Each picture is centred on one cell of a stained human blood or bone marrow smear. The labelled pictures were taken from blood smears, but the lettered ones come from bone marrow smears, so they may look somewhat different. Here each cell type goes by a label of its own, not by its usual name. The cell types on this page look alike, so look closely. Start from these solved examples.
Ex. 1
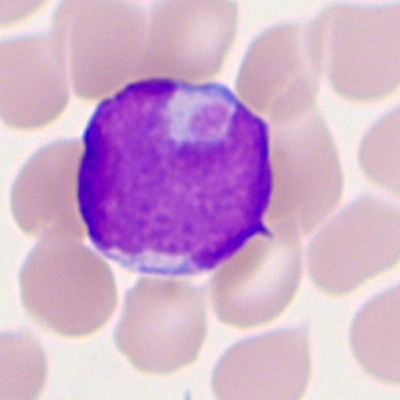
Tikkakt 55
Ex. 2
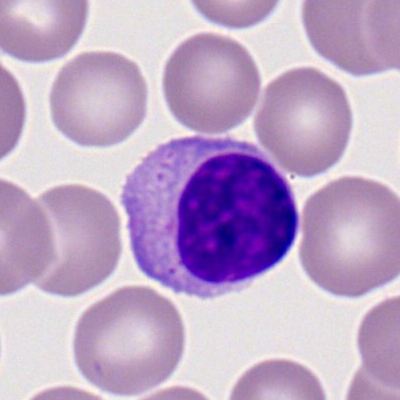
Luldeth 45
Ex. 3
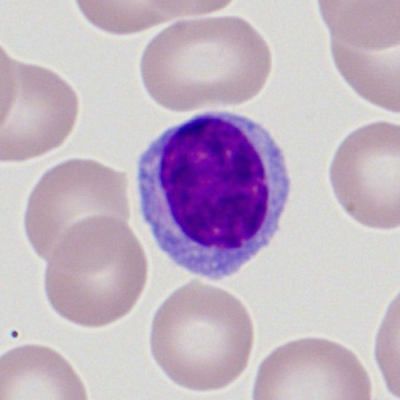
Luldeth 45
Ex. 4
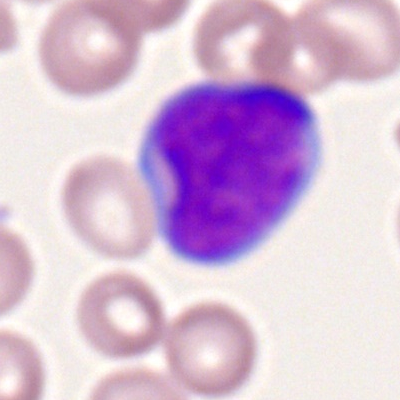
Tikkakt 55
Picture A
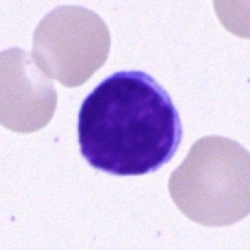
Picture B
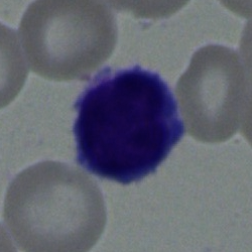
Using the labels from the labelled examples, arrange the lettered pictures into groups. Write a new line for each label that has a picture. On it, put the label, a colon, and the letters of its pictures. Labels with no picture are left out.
Luldeth 45: A, B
